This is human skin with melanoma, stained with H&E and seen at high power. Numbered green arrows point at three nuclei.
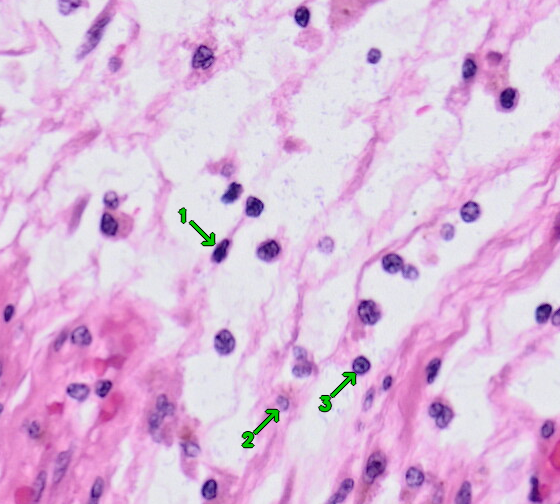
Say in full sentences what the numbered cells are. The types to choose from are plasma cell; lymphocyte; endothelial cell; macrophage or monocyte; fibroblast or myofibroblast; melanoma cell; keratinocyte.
Cells 1 and 3 are lymphocytes. Cell 2 is a macrophage or monocyte.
